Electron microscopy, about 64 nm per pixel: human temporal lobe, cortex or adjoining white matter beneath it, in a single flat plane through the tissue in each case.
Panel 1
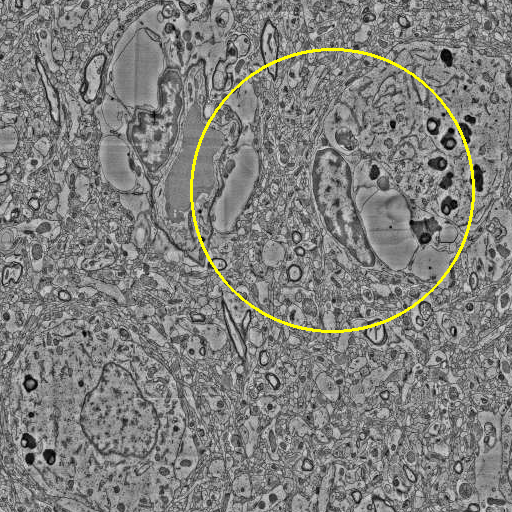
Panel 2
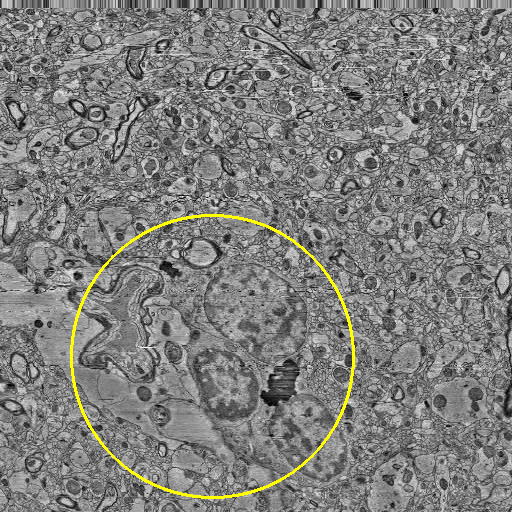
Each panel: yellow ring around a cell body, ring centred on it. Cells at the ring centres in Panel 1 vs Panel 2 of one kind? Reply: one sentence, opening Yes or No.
No, Panel 1 and Panel 2 have cells of two kinds at the ring centres.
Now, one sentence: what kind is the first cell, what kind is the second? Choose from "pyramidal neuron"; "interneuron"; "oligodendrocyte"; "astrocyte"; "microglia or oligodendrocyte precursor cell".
The first picture has a microglial cell or oligodendrocyte precursor cell at its ring centre, and the second has an oligodendrocyte.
